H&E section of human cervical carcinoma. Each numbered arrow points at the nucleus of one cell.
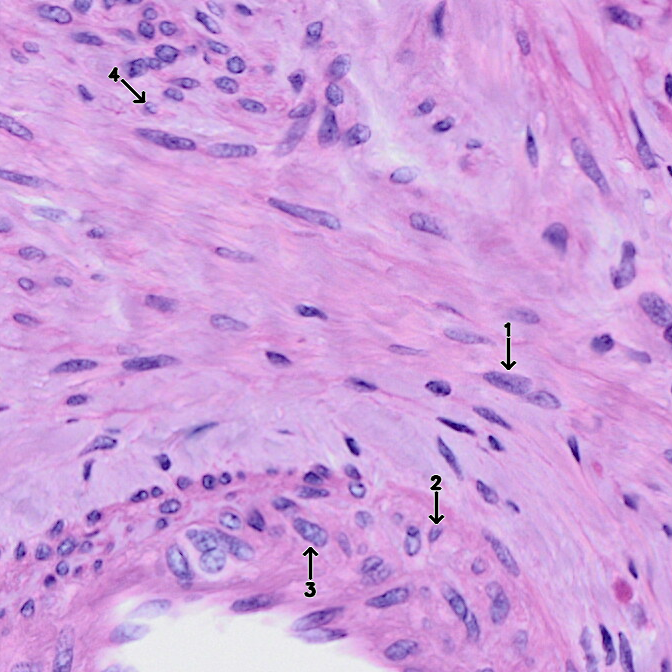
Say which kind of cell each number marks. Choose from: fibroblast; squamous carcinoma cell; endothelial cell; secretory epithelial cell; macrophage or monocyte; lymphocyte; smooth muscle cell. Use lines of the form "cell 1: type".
cell 1: fibroblast
cell 2: smooth muscle cell
cell 3: smooth muscle cell
cell 4: smooth muscle cell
